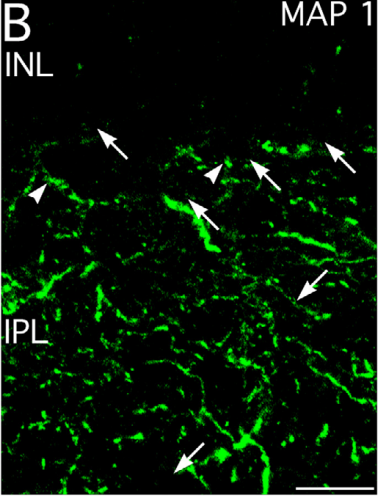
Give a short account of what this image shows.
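Green fluorescent thin, beaded, branching processes fill the inner plexiform layer below the inner nuclear layer. They run obliquely and horizontally as well as vertically, some thicker trunks giving off finer branches. The nuclear layer above shows little green apart from a few fine threads near its border.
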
